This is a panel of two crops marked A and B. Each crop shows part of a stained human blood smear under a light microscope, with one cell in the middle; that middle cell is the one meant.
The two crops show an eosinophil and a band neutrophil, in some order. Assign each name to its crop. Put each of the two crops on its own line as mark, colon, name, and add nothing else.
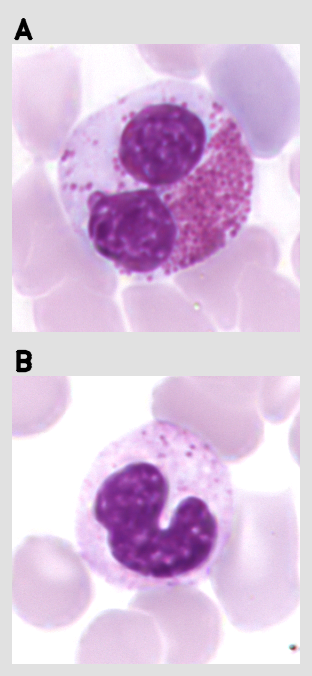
A: eosinophil
B: band neutrophil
